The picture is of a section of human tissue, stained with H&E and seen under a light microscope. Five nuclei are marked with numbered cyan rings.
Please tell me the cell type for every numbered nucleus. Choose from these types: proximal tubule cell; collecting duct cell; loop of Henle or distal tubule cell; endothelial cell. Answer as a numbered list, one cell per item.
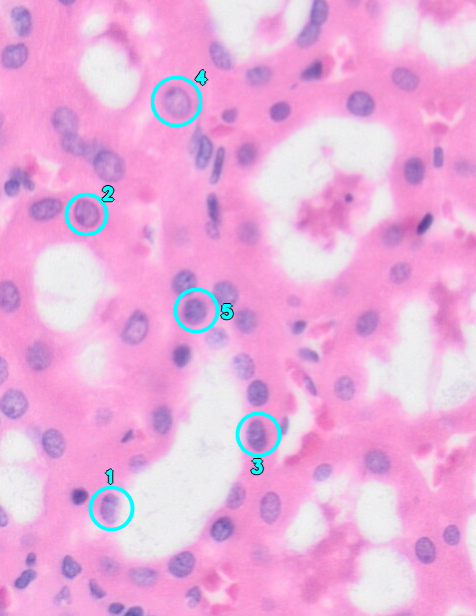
1. loop of Henle or distal tubule cell
2. proximal tubule cell
3. loop of Henle or distal tubule cell
4. proximal tubule cell
5. loop of Henle or distal tubule cell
